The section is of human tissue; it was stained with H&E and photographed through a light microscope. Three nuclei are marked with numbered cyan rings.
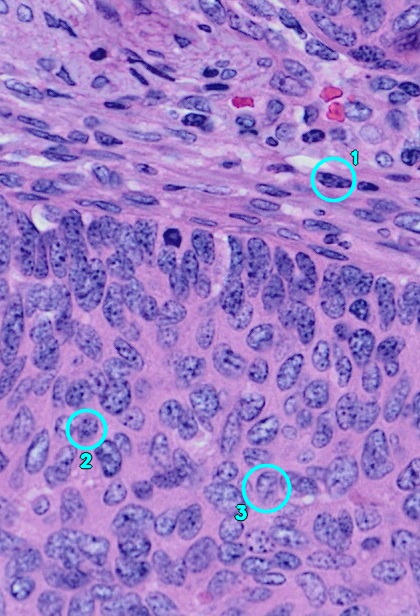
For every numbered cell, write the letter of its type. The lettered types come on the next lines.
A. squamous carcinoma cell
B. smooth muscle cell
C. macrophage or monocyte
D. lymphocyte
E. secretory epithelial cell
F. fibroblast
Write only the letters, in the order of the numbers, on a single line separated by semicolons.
D; A; A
